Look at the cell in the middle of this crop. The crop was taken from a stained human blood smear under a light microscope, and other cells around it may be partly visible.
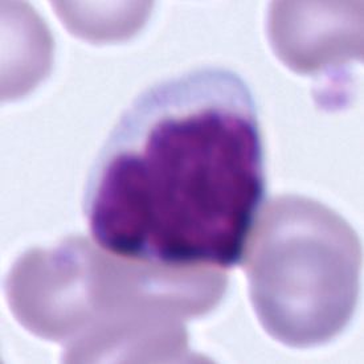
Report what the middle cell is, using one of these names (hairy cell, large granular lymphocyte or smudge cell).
large granular lymphocyte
